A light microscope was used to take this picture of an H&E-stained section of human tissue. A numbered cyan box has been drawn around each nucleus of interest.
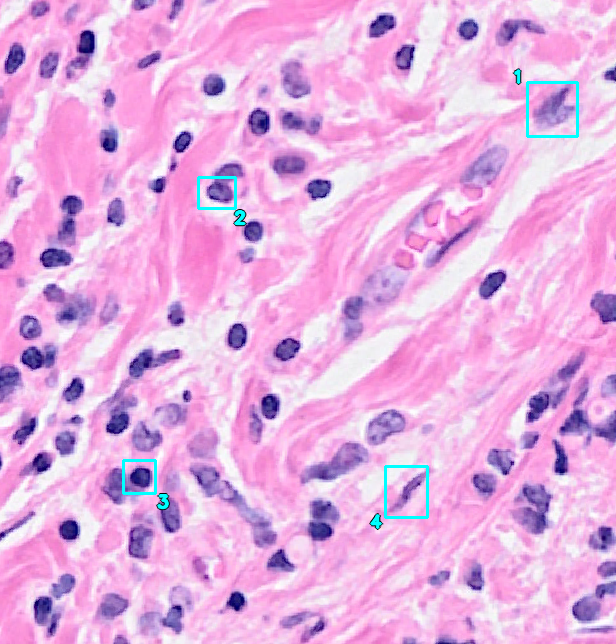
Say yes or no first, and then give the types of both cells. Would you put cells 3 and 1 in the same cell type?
No, cell 3 is a lymphocyte, and cell 1, for its part, is a fibroblast.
